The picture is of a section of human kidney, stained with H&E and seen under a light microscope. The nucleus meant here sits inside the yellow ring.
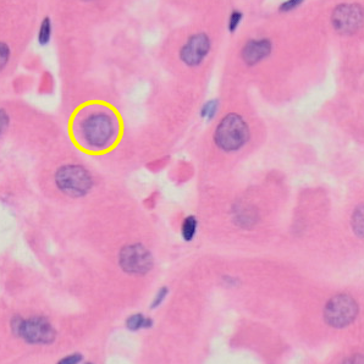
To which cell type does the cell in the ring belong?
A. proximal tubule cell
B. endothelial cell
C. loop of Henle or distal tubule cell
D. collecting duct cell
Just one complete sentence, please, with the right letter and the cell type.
Option A is the one to take: the cell in the ring is a proximal tubule cell.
